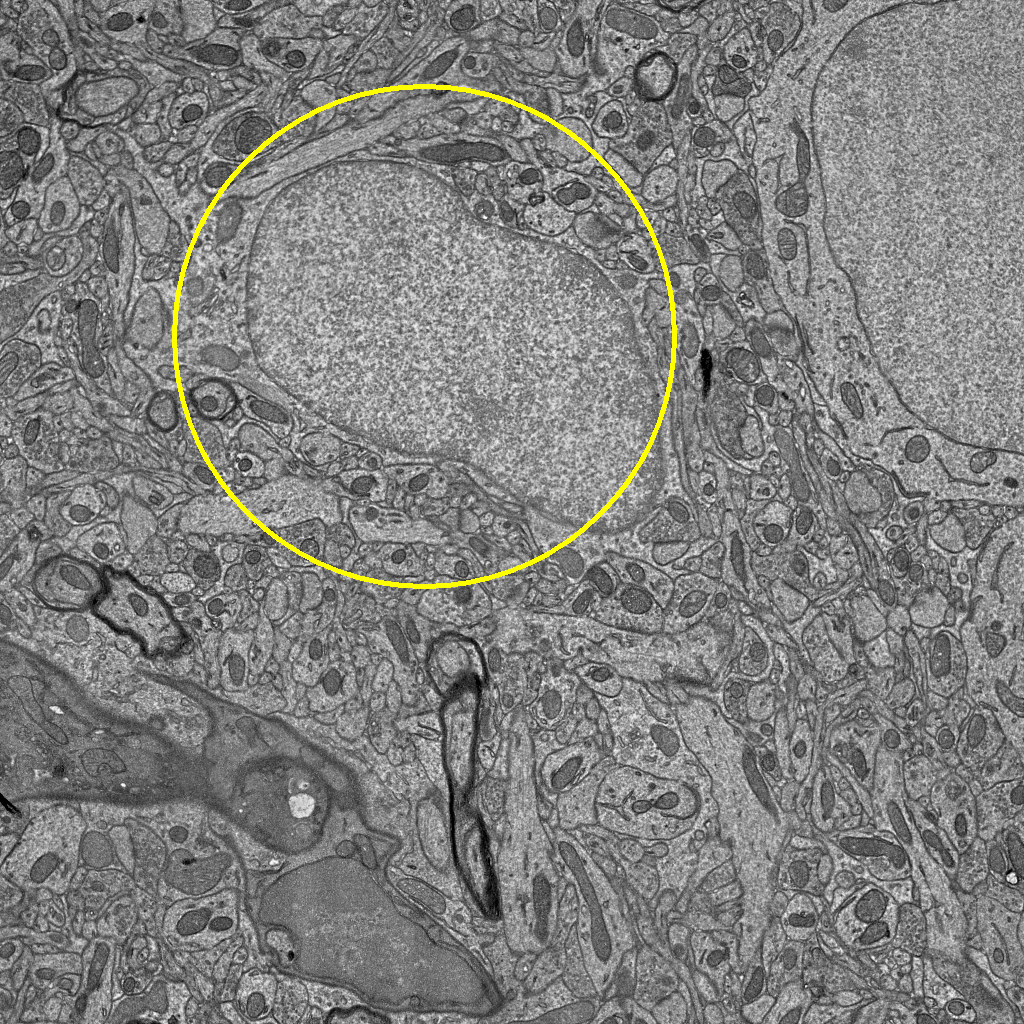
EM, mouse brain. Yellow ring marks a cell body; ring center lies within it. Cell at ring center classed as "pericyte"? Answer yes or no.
no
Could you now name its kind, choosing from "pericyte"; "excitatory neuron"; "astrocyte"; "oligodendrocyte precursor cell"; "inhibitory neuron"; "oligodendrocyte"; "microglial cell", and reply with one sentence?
Instead, the ring in this picture marks an astrocyte.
